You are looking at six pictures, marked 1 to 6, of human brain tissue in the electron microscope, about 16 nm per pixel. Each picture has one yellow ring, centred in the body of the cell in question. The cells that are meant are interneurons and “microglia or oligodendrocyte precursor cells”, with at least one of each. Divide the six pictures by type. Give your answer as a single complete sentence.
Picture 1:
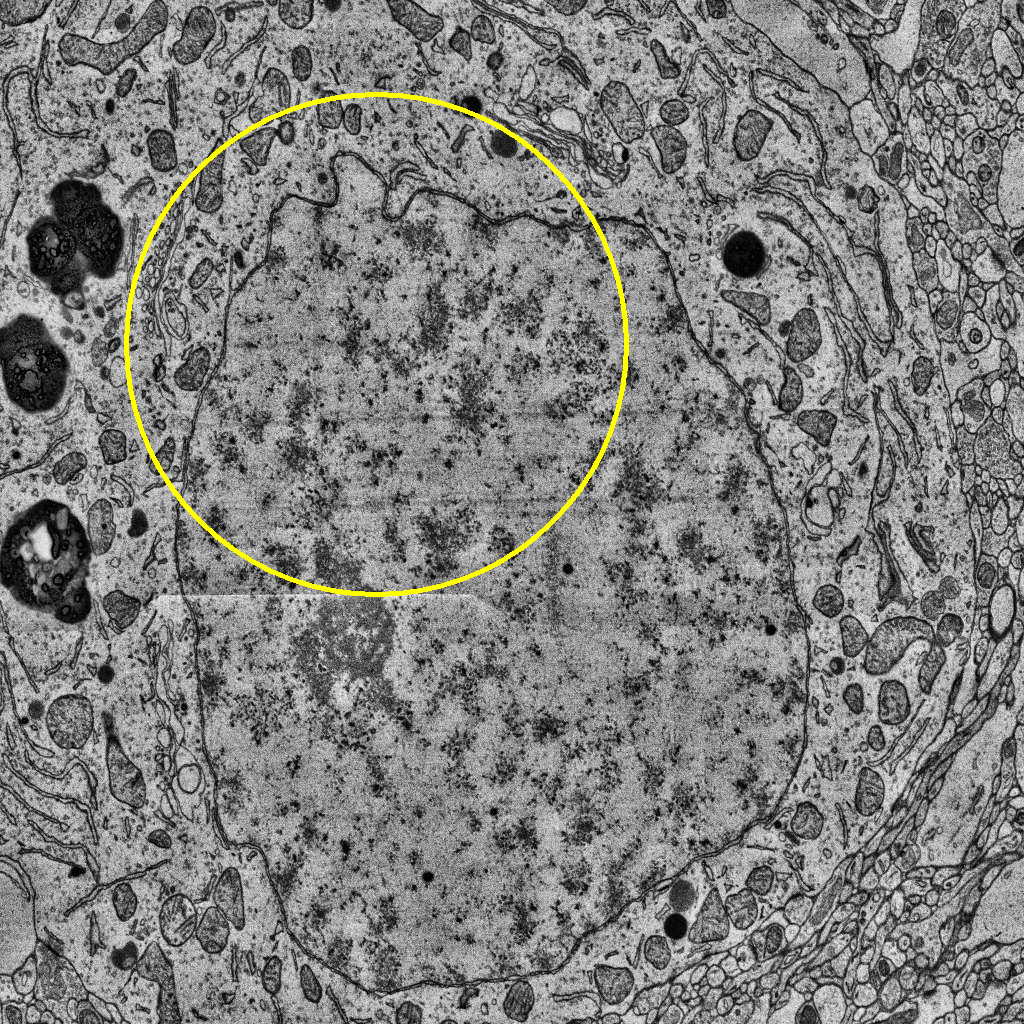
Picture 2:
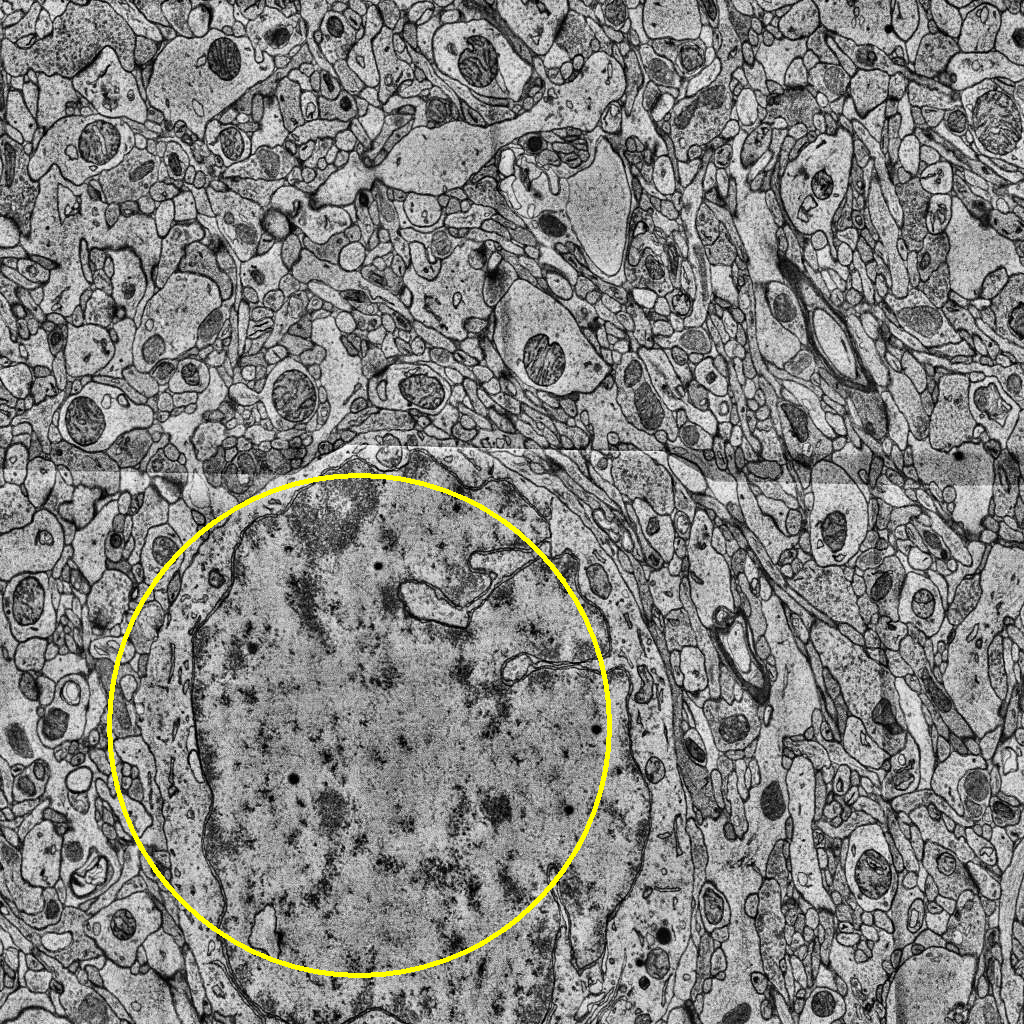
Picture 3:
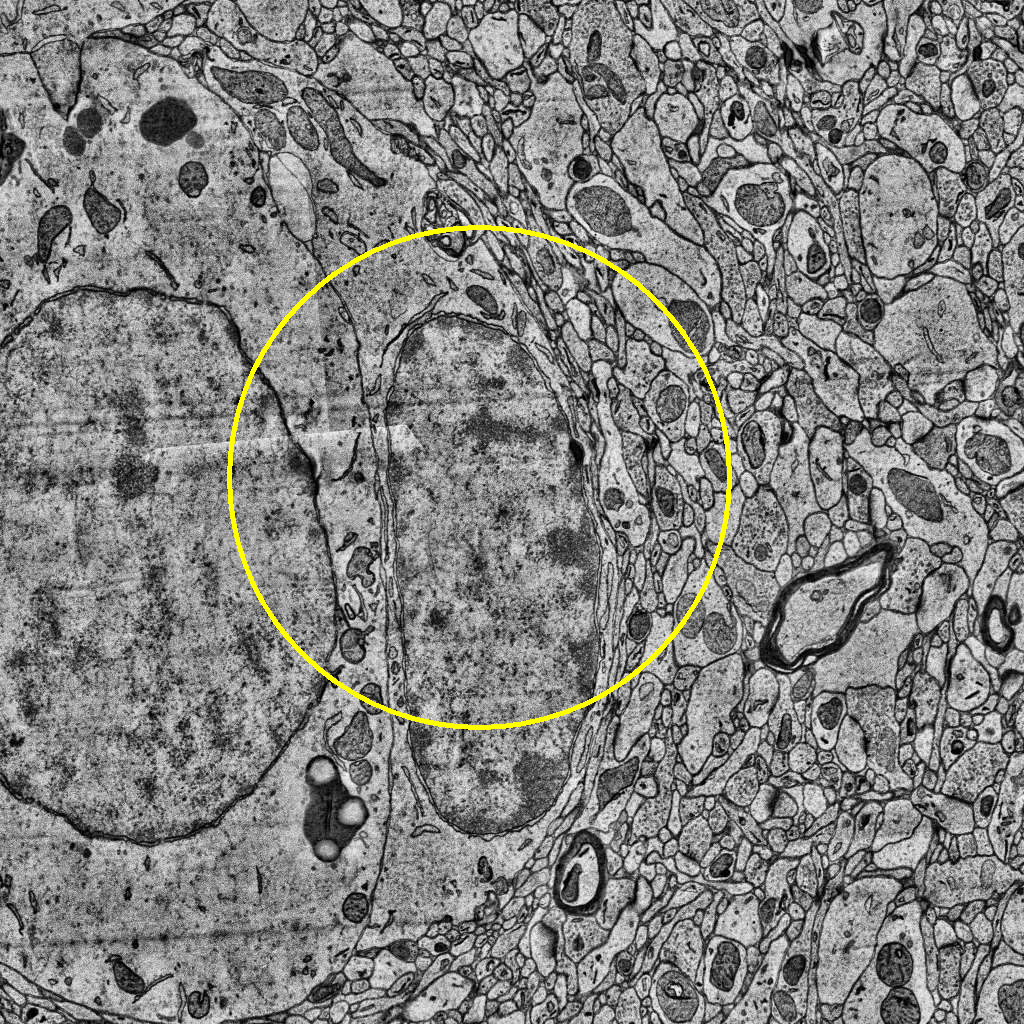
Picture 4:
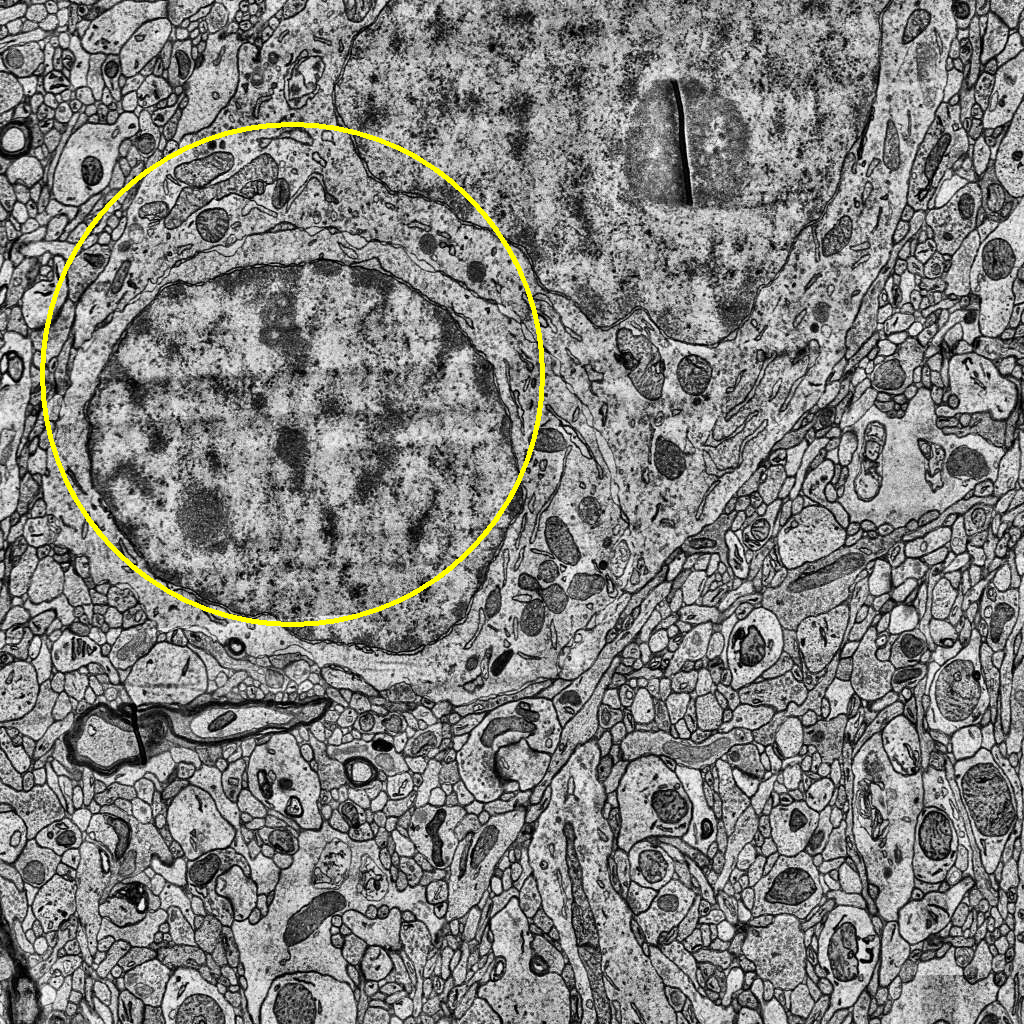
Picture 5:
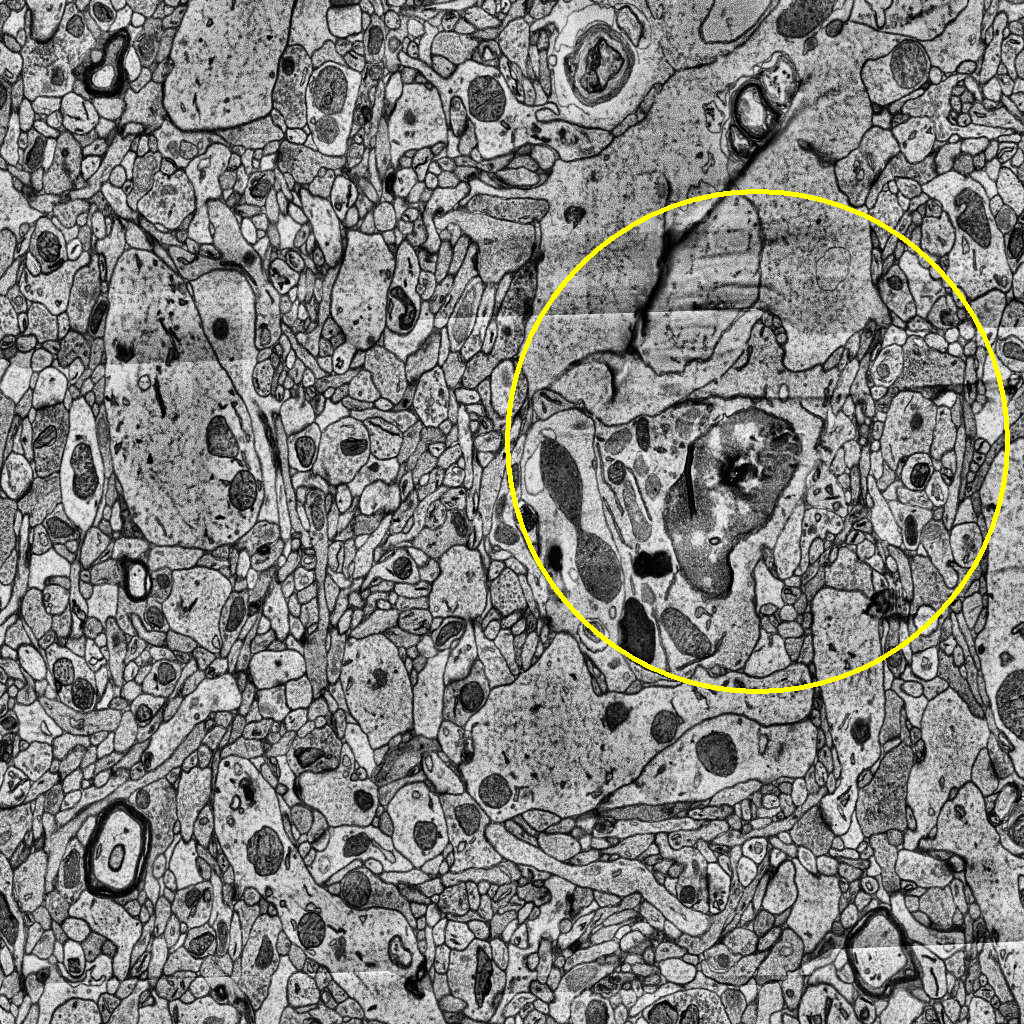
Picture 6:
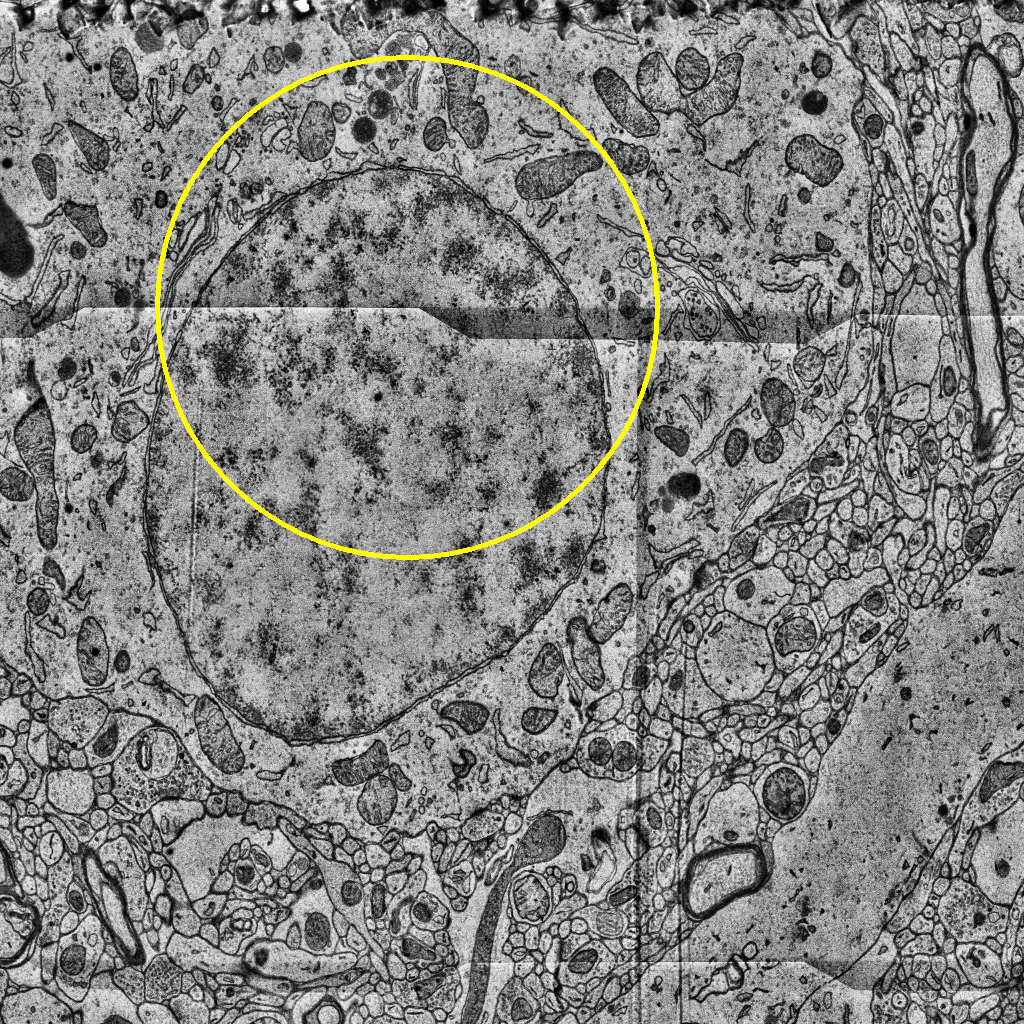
Pictures 1, 2 and 6 show interneurons; pictures 3, 4 and 5 show “microglia or oligodendrocyte precursor cells”.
